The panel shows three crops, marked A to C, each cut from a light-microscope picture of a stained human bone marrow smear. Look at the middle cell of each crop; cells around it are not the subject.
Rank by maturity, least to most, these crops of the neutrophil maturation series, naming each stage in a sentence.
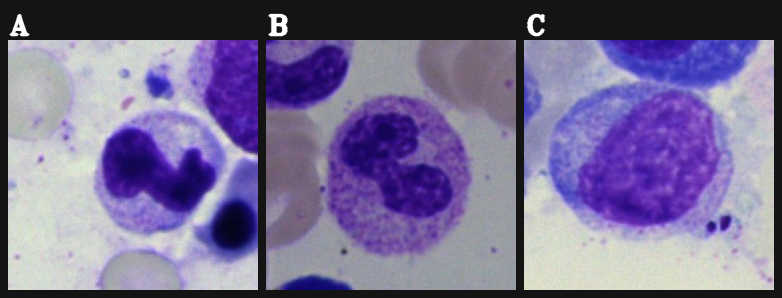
The arrangement from least to most mature is crop C (a promyelocyte), crop A (a band neutrophil) and crop B (a segmented neutrophil).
